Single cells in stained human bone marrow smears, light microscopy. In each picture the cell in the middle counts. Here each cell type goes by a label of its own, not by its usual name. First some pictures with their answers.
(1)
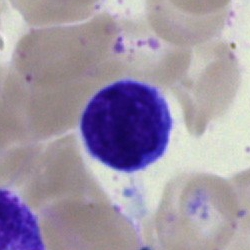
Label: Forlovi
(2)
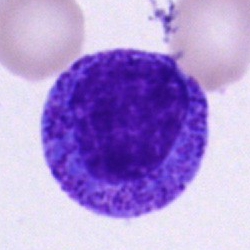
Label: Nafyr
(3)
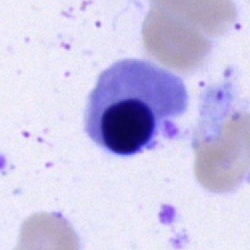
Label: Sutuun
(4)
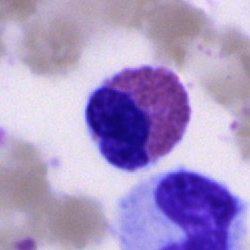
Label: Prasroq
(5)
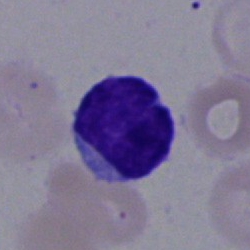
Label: Forlovi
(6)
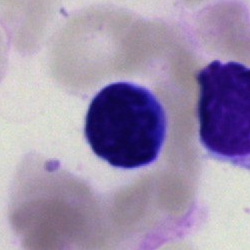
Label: Forlovi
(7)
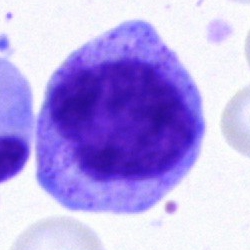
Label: Nafyr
